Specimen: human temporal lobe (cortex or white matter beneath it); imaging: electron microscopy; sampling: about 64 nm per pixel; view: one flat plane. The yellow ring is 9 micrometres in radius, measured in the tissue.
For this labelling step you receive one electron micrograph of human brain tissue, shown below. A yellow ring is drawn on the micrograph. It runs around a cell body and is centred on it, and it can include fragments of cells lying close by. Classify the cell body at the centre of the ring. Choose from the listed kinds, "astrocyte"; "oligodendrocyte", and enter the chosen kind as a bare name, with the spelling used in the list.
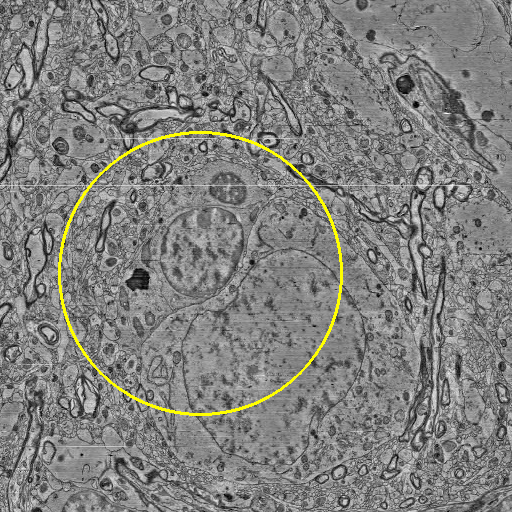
oligodendrocyte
